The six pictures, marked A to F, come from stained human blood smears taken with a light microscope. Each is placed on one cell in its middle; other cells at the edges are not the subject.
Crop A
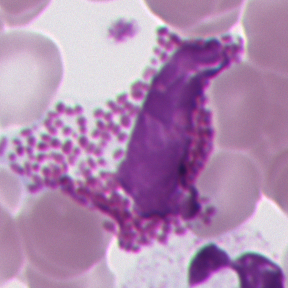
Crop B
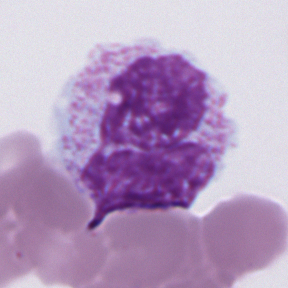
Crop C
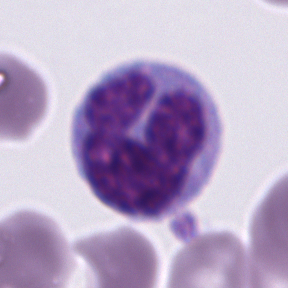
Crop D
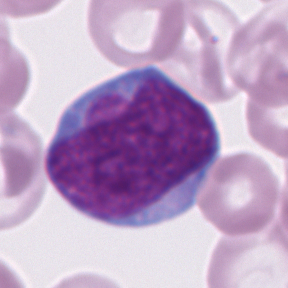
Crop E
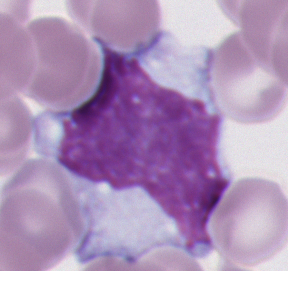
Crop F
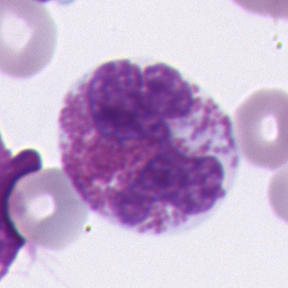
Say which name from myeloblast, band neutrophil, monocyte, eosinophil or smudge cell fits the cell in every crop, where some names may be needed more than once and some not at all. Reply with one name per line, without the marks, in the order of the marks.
eosinophil
band neutrophil
monocyte
myeloblast
monocyte
eosinophil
